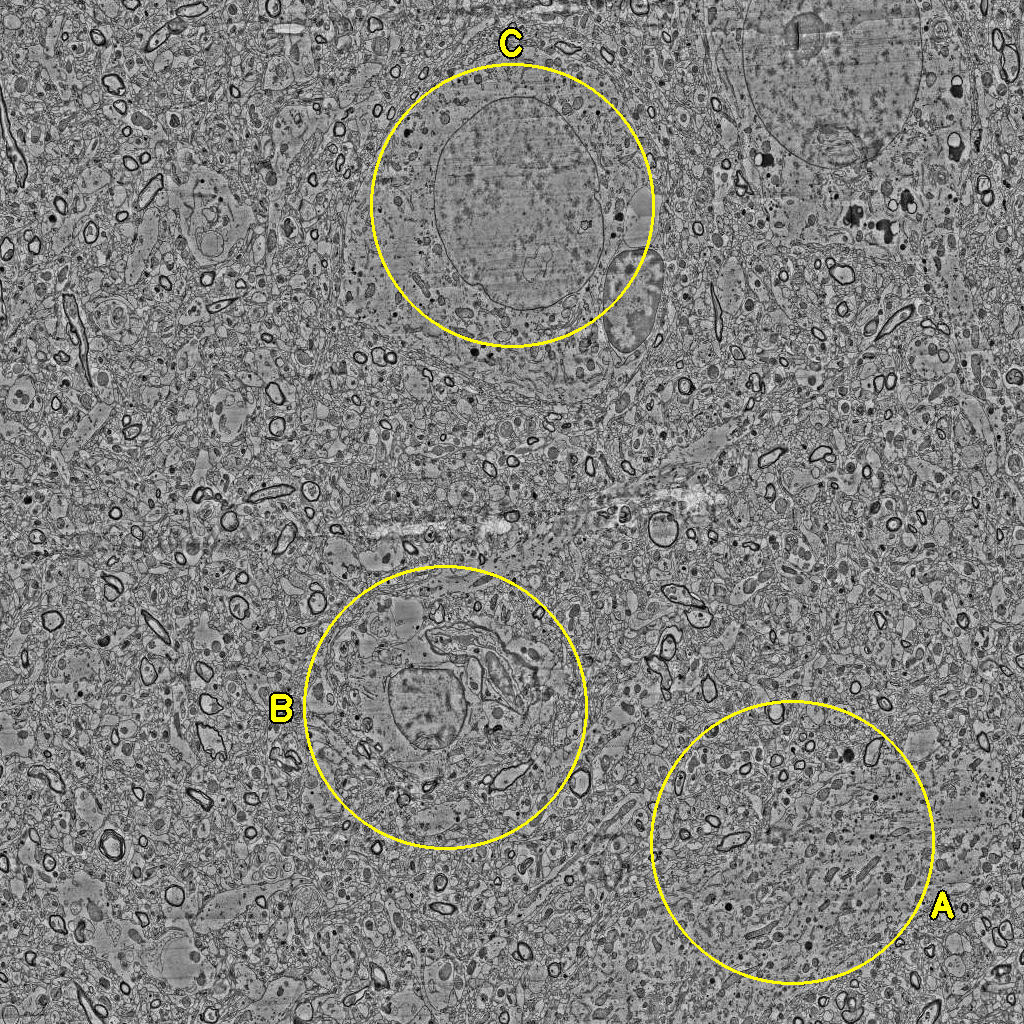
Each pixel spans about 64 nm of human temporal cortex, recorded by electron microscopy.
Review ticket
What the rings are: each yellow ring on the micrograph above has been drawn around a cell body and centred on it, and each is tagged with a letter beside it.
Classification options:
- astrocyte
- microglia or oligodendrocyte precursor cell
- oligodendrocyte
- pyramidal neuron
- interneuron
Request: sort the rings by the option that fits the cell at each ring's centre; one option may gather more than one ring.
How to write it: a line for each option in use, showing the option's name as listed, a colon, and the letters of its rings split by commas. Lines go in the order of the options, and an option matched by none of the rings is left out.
microglia or oligodendrocyte precursor cell: B
pyramidal neuron: A, C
